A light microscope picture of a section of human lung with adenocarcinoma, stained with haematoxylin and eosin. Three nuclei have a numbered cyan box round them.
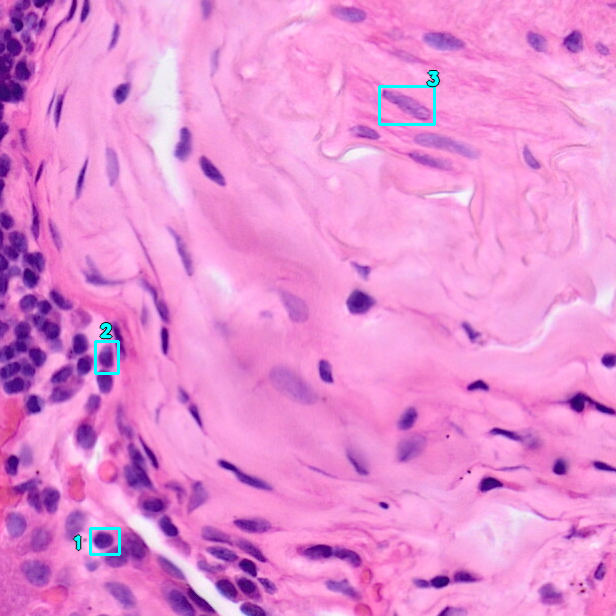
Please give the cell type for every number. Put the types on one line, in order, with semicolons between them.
lymphocyte; lymphocyte; smooth muscle cell or pericyte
